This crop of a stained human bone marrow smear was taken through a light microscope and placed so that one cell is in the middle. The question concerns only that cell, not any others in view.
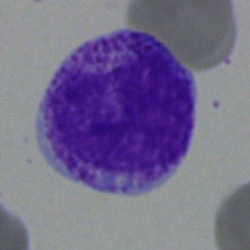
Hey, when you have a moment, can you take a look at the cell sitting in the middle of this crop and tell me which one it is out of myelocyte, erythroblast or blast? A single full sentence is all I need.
Here the centrally located cell is a myelocyte.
